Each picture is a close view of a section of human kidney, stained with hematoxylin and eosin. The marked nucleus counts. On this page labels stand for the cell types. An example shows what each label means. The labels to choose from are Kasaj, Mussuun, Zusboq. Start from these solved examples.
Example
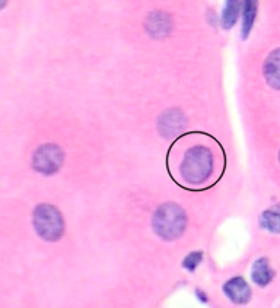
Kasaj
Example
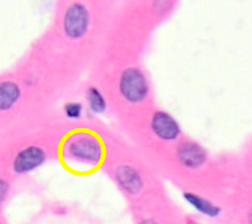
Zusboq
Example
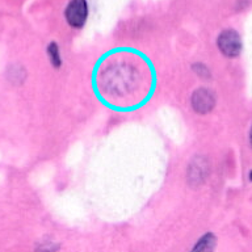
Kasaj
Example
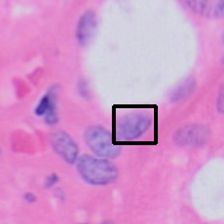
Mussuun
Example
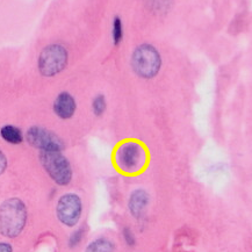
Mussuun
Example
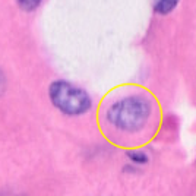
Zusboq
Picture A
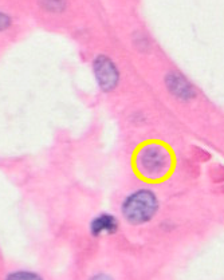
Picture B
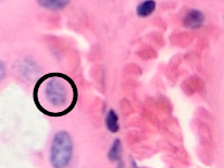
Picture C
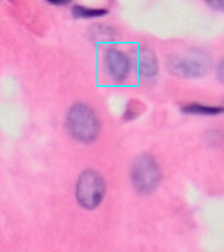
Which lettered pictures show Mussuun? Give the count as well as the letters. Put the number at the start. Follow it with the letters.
Count: 2 (B, C)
